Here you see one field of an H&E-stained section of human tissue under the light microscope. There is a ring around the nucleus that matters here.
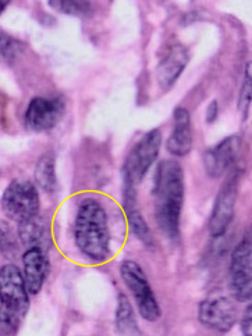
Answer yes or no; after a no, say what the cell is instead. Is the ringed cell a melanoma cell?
Yes.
